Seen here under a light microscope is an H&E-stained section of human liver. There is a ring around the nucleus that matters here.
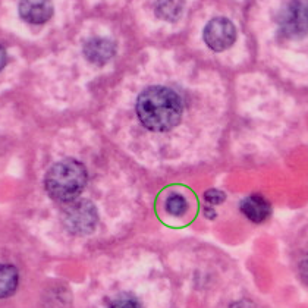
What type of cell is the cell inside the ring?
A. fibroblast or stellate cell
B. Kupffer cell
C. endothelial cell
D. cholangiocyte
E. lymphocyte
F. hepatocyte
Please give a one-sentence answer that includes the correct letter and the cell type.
With the cell inside the ring being a lymphocyte, option E is correct.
